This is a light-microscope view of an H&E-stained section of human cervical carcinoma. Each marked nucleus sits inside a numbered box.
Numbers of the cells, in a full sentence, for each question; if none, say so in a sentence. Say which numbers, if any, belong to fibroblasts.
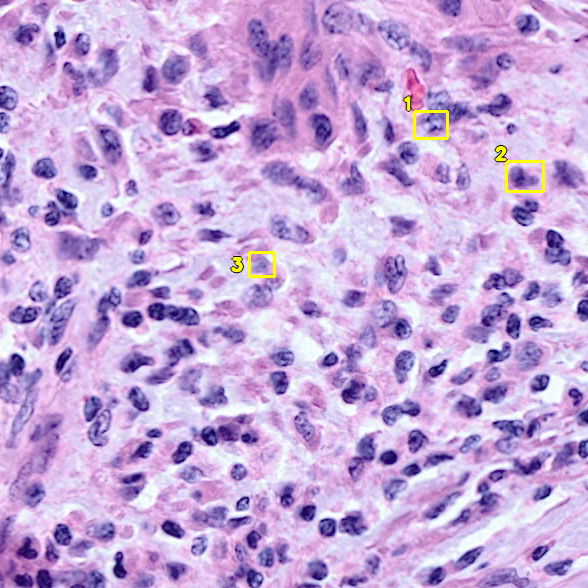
The numbered cell that is a fibroblast is cell 3, and it is the only one.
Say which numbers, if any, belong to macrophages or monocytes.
Only the cell numbered 2 is a macrophage or monocyte; none of the others is.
